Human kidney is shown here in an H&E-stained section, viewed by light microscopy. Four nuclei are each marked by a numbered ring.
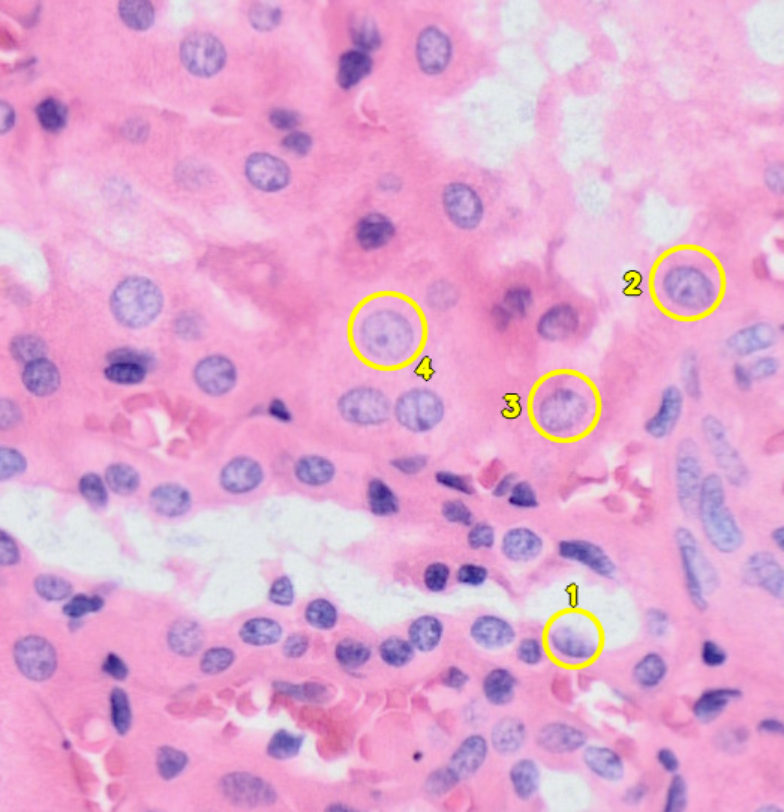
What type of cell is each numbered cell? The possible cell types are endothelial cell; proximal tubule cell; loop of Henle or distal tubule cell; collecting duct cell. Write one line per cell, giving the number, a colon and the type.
1: collecting duct cell
2: proximal tubule cell
3: proximal tubule cell
4: proximal tubule cell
